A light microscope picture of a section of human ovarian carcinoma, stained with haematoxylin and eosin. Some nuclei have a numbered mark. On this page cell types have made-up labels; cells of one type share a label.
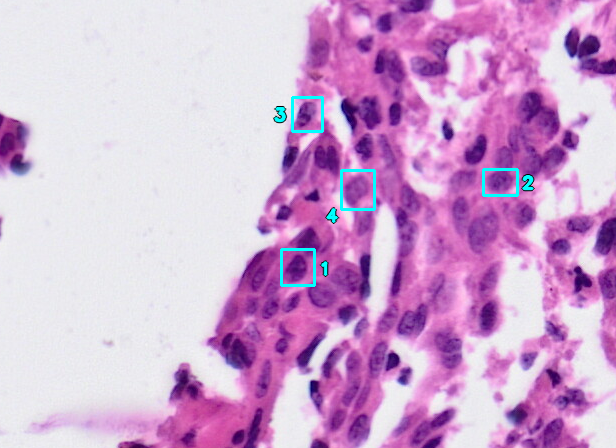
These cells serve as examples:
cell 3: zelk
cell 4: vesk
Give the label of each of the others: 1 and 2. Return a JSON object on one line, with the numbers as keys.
{"1": "vesk", "2": "vesk"}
